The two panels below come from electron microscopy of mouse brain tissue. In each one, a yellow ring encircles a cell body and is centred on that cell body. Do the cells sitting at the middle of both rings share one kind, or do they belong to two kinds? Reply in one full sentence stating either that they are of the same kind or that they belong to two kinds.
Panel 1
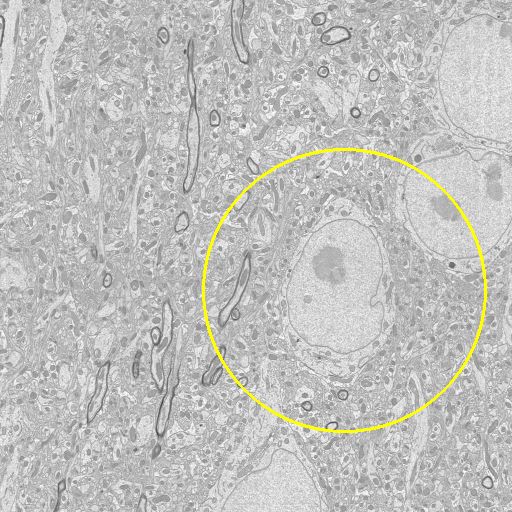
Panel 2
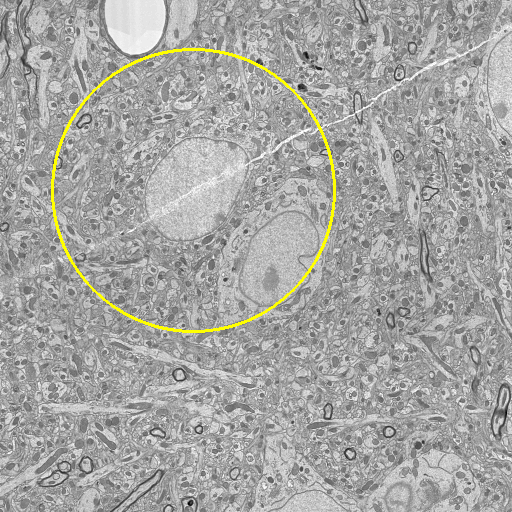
The cells at the centres of the two rings belong to two kinds.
